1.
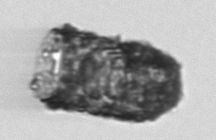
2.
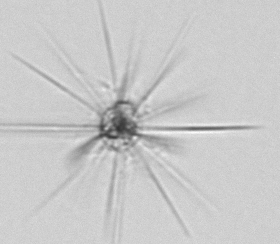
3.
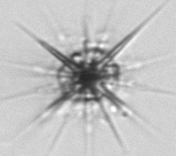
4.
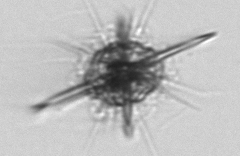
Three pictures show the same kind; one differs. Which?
Picture 1: a tintinnid, while the others are radiolarians.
